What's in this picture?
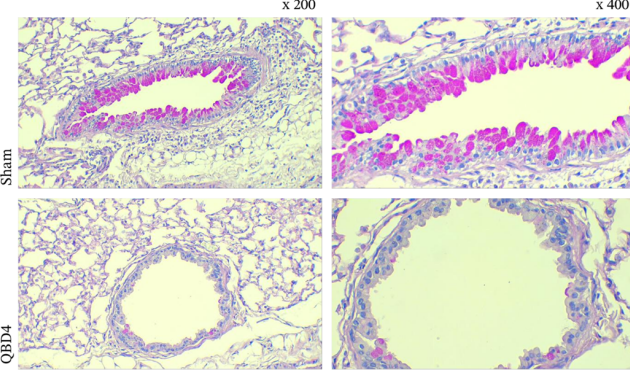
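These are cross-sections of small airways in lung, surrounded by the thin-walled alveolar tissue, stained pink and purple with bluish nuclei. In the upper pair, the columnar epithelium lining the airway is crowded with goblet cells whose cytoplasm is filled with bright magenta mucus, forming an almost unbroken band along the lumen; at the higher view the rounded mucus-filled cups sit above the basal nuclei. In the lower pair, the airway lining is a thin, low layer of epithelial cells with bluish nuclei and pale cytoplasm, with hardly any magenta material.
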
